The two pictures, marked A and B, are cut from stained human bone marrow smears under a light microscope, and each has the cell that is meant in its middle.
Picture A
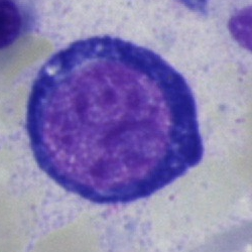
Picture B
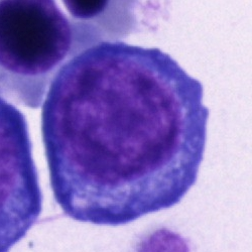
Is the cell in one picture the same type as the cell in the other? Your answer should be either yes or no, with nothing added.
yes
